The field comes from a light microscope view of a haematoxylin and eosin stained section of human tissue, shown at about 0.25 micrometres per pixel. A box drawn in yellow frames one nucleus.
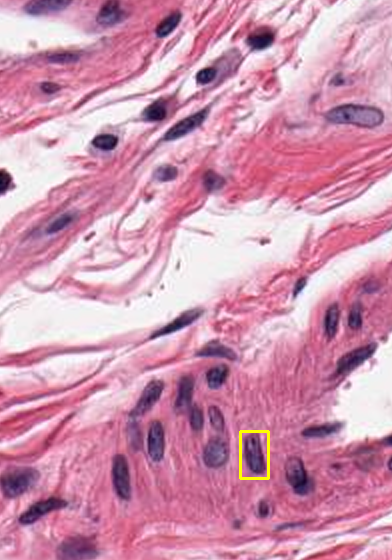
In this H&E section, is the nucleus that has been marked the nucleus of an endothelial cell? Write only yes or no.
no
